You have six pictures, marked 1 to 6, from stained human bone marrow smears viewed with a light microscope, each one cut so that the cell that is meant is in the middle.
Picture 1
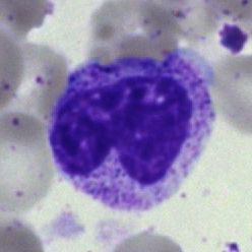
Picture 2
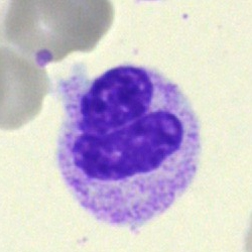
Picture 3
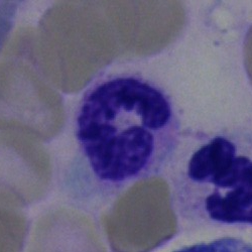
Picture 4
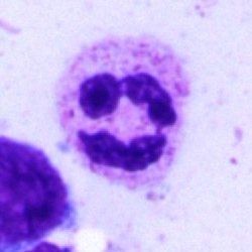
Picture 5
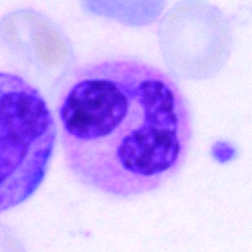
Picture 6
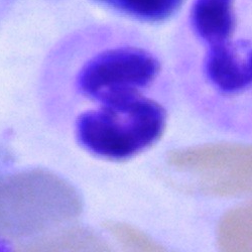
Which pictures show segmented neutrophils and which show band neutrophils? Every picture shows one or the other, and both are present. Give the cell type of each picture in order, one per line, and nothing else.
band neutrophil
band neutrophil
segmented neutrophil
segmented neutrophil
segmented neutrophil
segmented neutrophil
